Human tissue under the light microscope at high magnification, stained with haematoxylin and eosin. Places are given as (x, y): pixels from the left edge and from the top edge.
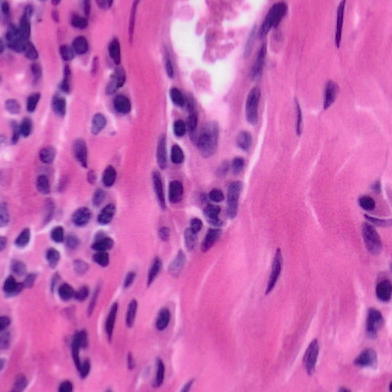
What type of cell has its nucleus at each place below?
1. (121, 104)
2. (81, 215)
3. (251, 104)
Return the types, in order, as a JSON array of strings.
["plasma cell", "plasma cell", "endothelial cell"]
